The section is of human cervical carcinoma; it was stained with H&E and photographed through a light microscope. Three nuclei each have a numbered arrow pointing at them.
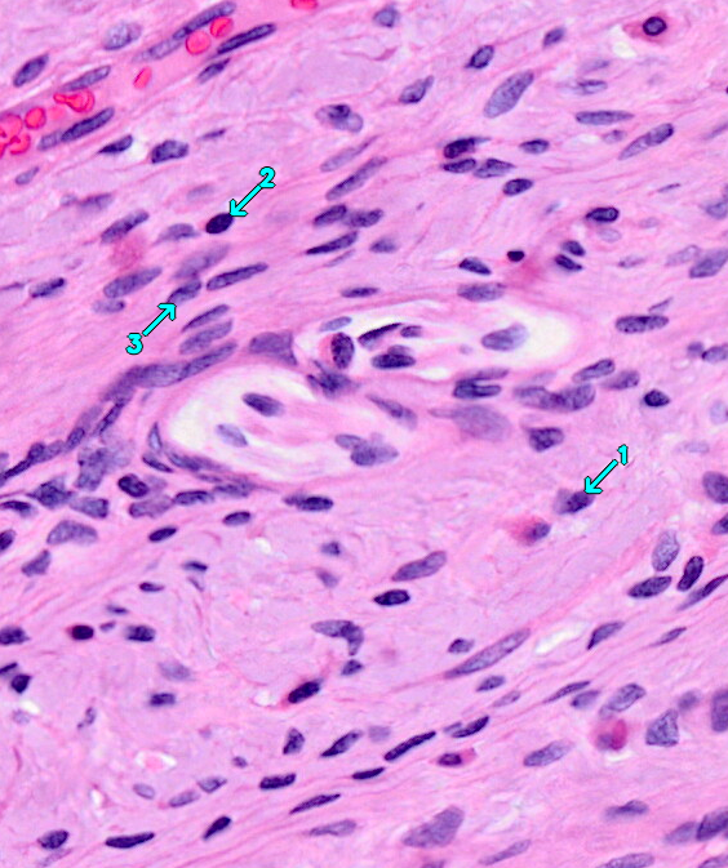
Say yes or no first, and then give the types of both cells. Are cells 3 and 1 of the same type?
Yes, within the numbered set, cells 3 and 1 are both fibroblasts.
